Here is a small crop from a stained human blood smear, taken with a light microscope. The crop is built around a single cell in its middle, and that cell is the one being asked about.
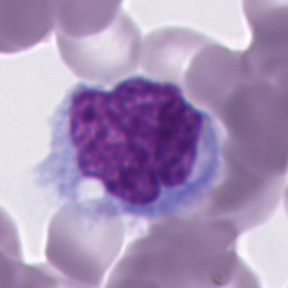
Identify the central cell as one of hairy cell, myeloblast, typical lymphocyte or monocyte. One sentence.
Framed in the middle of the crop is a monocyte.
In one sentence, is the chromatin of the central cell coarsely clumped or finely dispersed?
Answer: the chromatin in this nucleus is coarsely clumped.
